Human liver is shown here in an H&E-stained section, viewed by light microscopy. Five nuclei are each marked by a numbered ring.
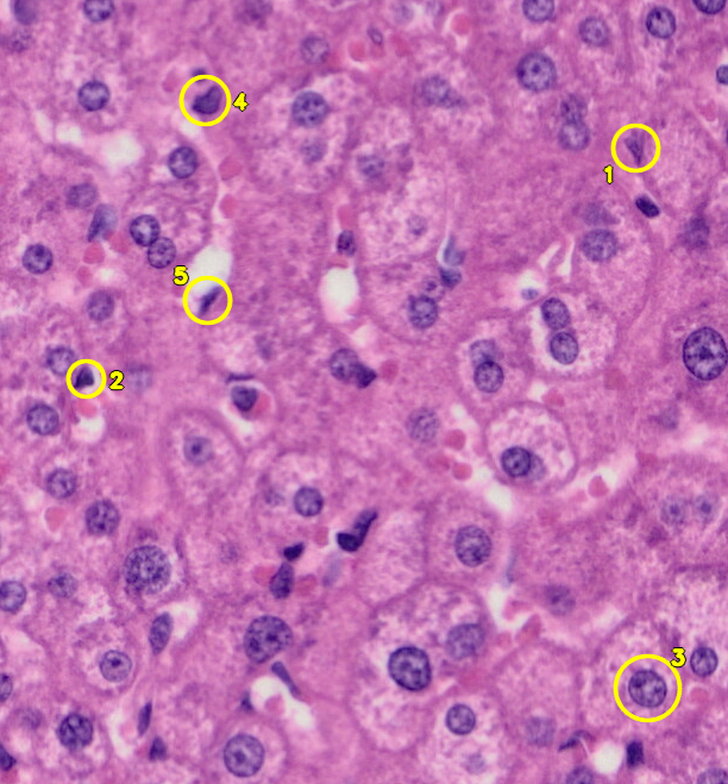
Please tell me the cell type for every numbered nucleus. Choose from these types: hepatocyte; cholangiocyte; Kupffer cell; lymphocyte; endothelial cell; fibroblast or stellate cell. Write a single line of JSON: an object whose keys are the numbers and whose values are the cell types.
{"1": "endothelial cell", "2": "endothelial cell", "3": "hepatocyte", "4": "Kupffer cell", "5": "endothelial cell"}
